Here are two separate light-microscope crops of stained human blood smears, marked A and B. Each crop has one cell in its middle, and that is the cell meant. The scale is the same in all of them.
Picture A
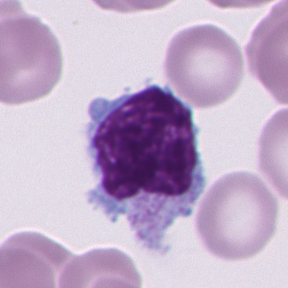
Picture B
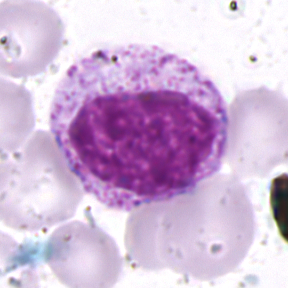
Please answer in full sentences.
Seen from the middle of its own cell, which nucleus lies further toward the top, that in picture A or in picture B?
The nucleus in picture A lies further toward the top of its cell.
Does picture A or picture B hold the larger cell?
Larger is the cell in picture B, at roughly 1.5 times the area of the other.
